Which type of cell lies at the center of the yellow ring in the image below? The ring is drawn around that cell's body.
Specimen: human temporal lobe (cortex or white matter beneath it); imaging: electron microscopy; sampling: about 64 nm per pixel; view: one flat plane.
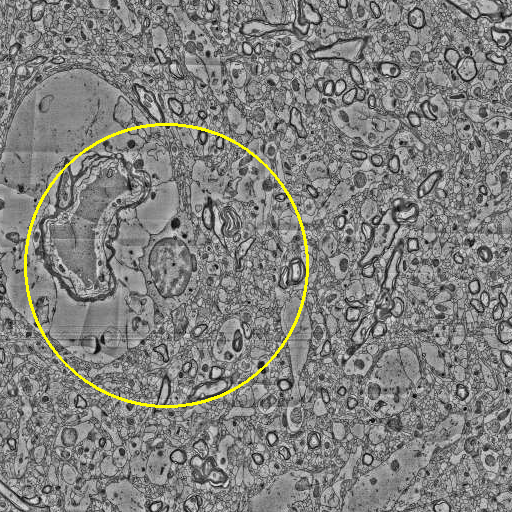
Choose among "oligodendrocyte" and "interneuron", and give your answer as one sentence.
The cell body at the center belongs to an oligodendrocyte.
